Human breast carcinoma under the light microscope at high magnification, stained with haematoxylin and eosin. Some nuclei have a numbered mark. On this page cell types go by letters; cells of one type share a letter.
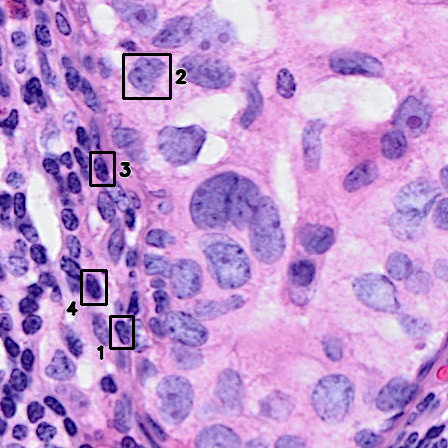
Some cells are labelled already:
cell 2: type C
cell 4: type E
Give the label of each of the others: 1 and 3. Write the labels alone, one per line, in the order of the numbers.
type E
type E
